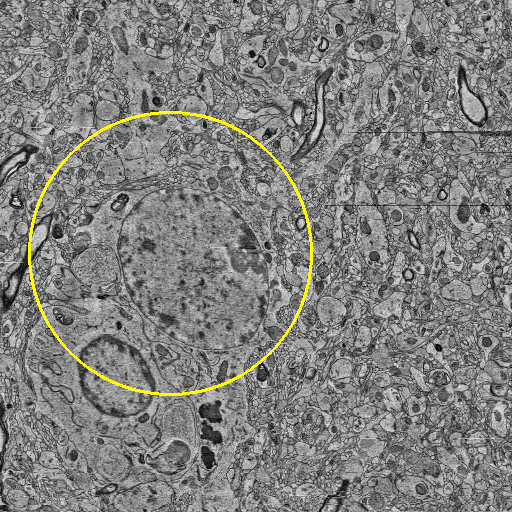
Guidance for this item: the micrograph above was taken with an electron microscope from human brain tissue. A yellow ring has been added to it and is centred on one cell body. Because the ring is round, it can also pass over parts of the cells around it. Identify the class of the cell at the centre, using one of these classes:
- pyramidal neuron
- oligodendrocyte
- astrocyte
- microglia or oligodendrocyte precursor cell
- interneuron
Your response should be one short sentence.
The ring surrounds the body of an astrocyte.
